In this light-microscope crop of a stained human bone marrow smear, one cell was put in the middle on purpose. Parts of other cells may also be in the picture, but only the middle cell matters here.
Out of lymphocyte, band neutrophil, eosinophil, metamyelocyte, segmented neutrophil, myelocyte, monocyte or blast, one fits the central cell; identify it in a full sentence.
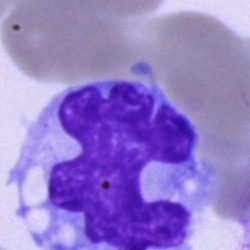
The cell positioned in the middle of the field is a monocyte.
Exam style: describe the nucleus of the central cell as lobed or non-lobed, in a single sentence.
Two or more lobes make up the nucleus of this cell.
